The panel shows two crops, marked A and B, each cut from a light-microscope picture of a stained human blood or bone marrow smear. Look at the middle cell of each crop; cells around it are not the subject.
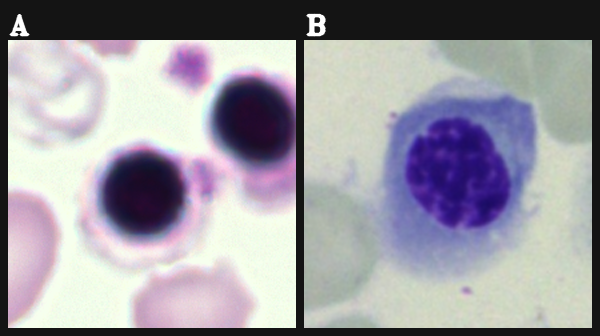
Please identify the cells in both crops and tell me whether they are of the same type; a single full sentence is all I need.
Yes, the cells at the centre of the two crops are both normoblasts.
